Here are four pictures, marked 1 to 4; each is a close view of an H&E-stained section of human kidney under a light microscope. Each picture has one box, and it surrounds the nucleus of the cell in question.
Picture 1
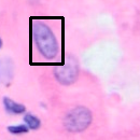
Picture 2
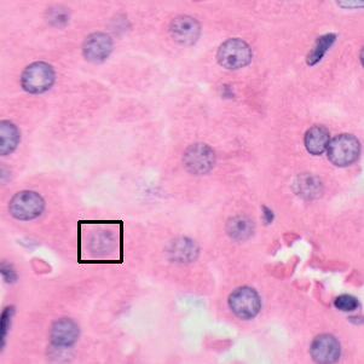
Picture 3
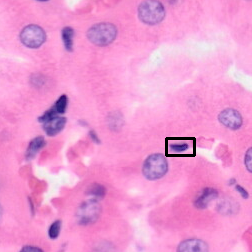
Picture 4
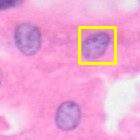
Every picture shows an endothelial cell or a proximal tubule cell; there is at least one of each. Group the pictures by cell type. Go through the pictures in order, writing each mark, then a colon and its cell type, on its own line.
1: proximal tubule cell
2: proximal tubule cell
3: endothelial cell
4: proximal tubule cell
